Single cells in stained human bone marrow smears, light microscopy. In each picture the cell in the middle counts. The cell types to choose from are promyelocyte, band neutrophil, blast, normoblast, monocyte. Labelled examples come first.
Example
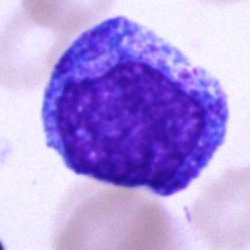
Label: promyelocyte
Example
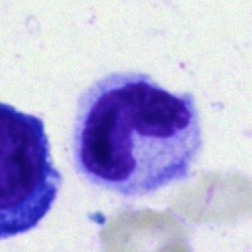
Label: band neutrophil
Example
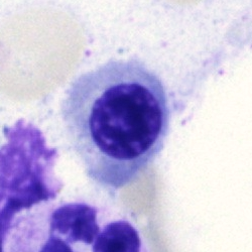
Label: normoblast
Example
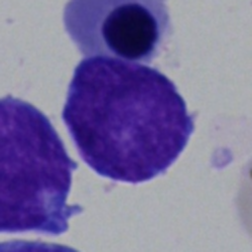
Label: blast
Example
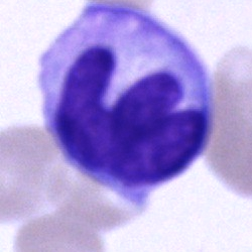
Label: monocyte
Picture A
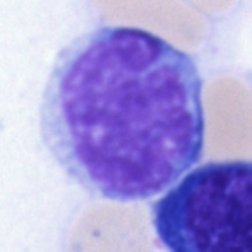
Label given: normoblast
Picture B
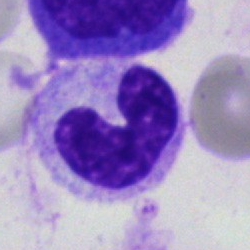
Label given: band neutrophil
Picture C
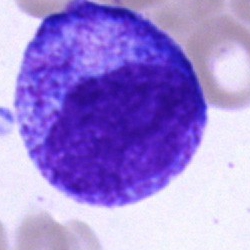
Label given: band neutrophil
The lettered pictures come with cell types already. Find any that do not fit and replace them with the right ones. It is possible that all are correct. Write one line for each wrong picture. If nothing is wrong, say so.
A: not normoblast but monocyte
C: not band neutrophil but promyelocyte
